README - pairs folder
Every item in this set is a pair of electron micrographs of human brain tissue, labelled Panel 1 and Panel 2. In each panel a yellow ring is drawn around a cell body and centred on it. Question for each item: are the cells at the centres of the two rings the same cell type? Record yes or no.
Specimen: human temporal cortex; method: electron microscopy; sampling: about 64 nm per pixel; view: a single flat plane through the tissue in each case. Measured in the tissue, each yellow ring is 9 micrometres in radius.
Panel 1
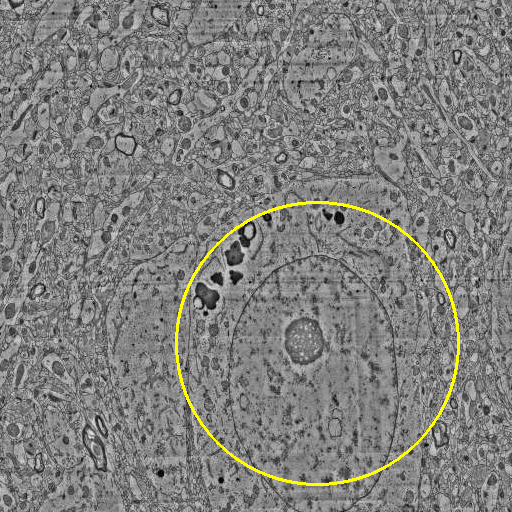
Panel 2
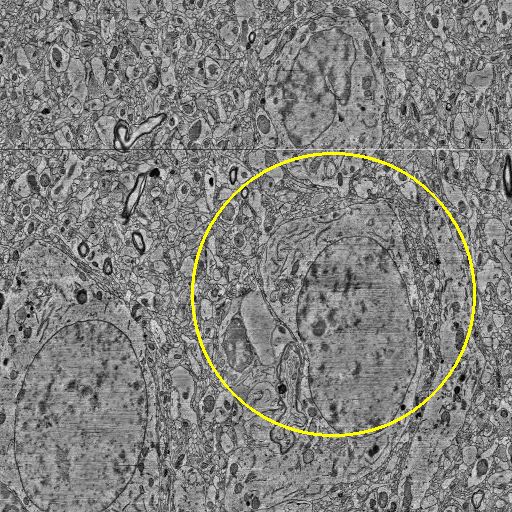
yes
